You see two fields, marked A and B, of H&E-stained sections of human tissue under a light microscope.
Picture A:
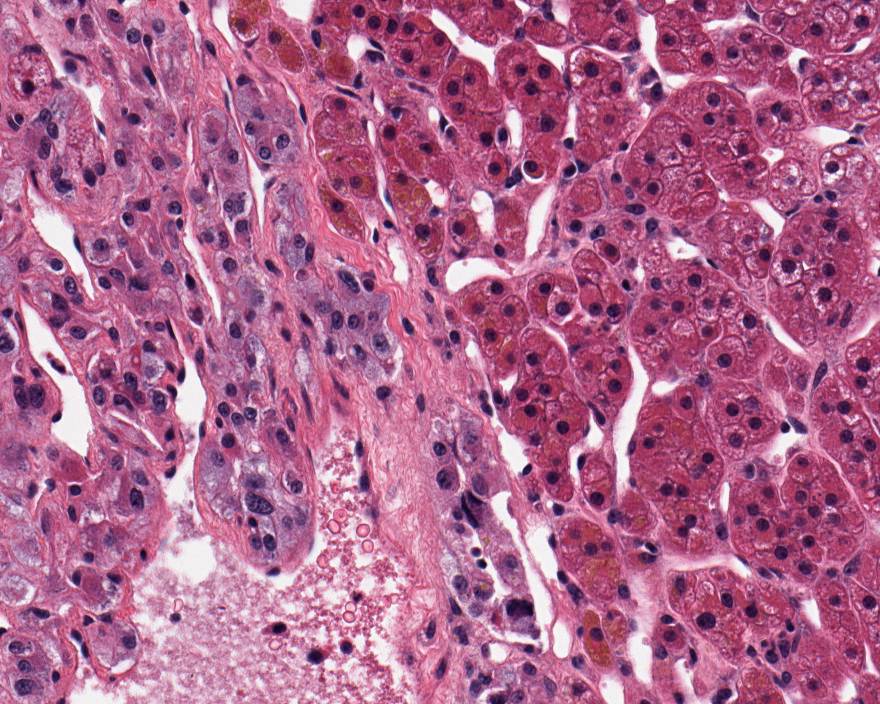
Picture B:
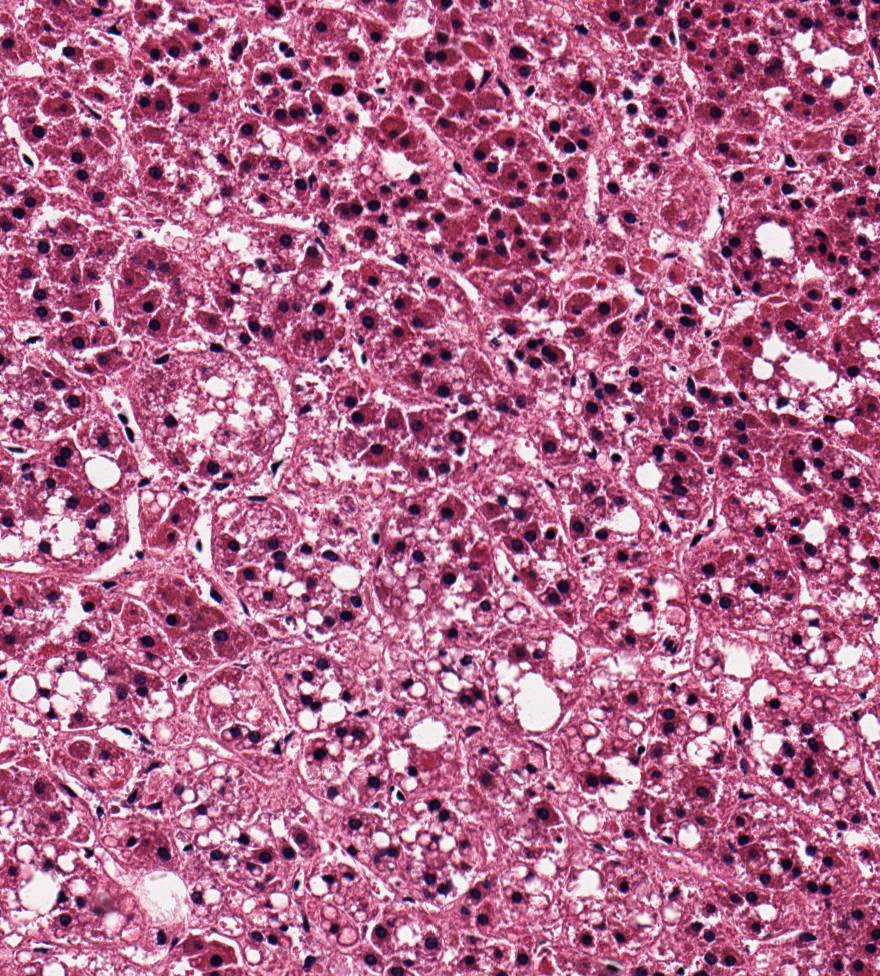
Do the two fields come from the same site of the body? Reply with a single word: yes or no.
yes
